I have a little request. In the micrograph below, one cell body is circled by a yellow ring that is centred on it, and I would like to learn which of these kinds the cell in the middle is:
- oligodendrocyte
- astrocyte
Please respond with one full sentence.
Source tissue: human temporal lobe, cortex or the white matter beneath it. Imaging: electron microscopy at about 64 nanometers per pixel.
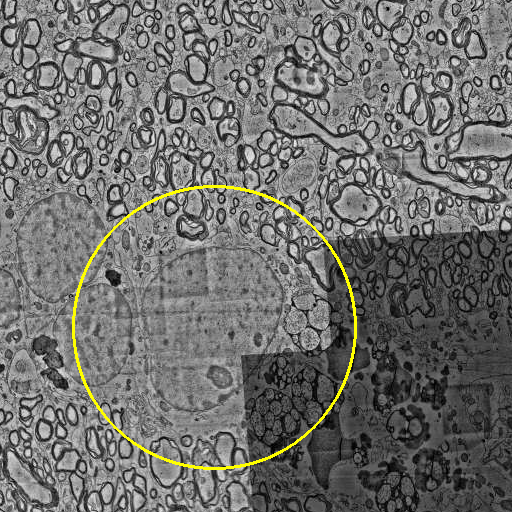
The cell sitting in the middle of the yellow ring in the micrograph is an astrocyte.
